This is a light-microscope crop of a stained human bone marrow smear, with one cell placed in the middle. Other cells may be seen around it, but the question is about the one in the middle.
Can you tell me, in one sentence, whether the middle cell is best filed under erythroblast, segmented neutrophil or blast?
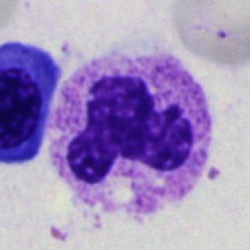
The crop centres on a single cell, and that cell is a segmented neutrophil.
